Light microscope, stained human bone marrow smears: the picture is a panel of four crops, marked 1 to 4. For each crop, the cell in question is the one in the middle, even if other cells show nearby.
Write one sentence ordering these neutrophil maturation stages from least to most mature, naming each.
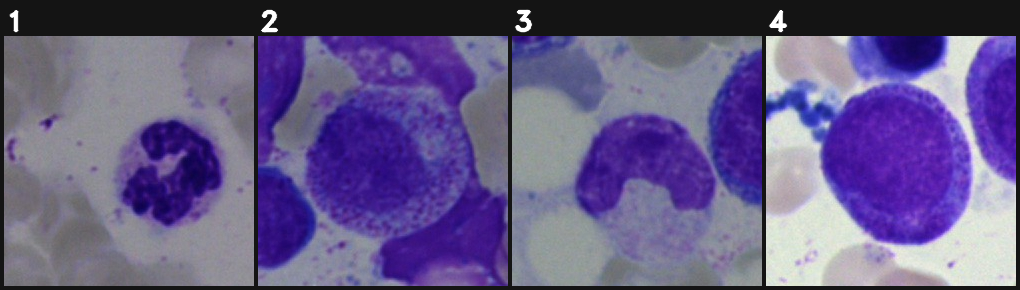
By increasing maturity, the cells should be ordered crop 4 (a promyelocyte), crop 2 (a myelocyte), crop 3 (a band neutrophil) and crop 1 (a segmented neutrophil).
